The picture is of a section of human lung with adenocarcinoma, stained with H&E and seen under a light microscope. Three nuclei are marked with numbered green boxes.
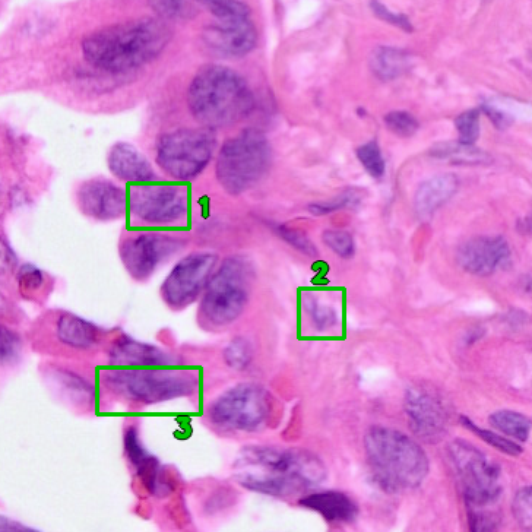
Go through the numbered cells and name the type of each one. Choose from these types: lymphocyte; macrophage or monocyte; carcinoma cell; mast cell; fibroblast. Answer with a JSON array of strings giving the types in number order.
["carcinoma cell", "fibroblast", "carcinoma cell"]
